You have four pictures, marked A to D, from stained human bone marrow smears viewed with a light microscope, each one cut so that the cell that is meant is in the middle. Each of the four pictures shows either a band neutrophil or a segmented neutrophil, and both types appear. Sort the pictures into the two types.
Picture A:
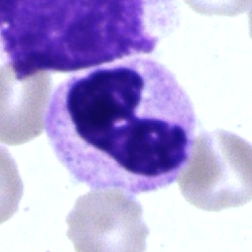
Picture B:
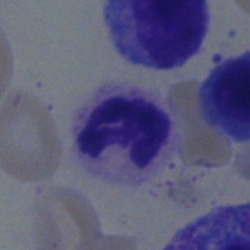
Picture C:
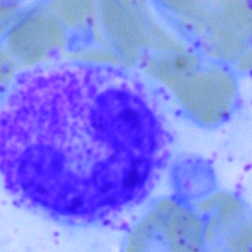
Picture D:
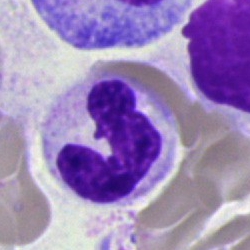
A: segmented neutrophil
B: segmented neutrophil
C: band neutrophil
D: band neutrophil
